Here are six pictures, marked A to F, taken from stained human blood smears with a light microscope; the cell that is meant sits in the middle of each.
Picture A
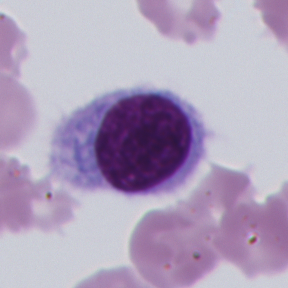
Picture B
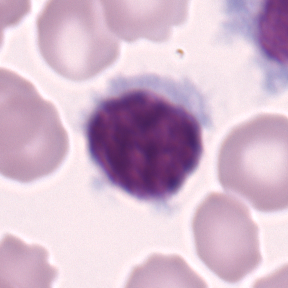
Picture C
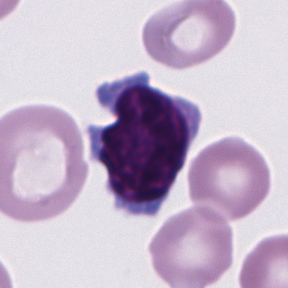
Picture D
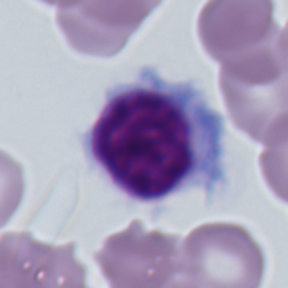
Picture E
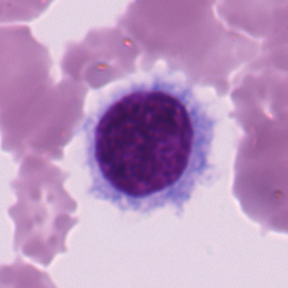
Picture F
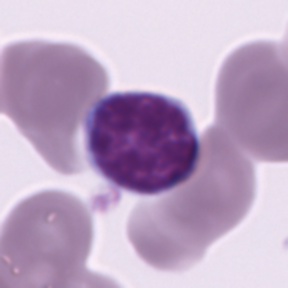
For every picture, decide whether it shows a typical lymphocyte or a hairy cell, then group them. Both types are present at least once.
A: hairy cell
B: hairy cell
C: typical lymphocyte
D: hairy cell
E: hairy cell
F: typical lymphocyte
